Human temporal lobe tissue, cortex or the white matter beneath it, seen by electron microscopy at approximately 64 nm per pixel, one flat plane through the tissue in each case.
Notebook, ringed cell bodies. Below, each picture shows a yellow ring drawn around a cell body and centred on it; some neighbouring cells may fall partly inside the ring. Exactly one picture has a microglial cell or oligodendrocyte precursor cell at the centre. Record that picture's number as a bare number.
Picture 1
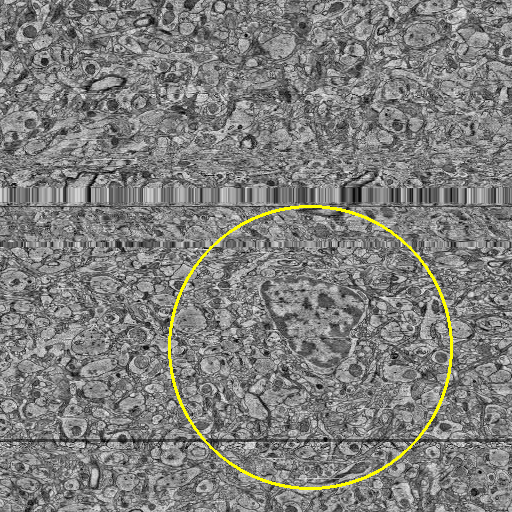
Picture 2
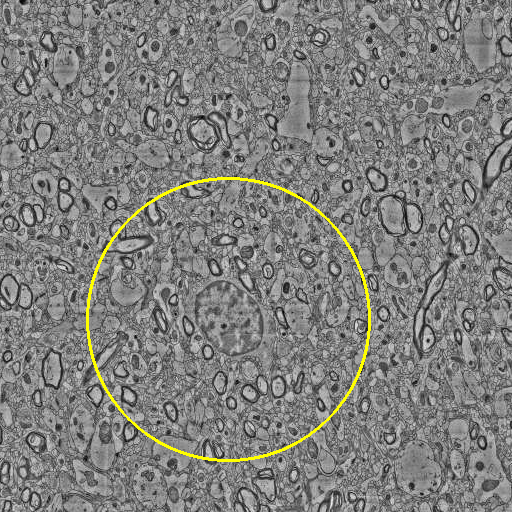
1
